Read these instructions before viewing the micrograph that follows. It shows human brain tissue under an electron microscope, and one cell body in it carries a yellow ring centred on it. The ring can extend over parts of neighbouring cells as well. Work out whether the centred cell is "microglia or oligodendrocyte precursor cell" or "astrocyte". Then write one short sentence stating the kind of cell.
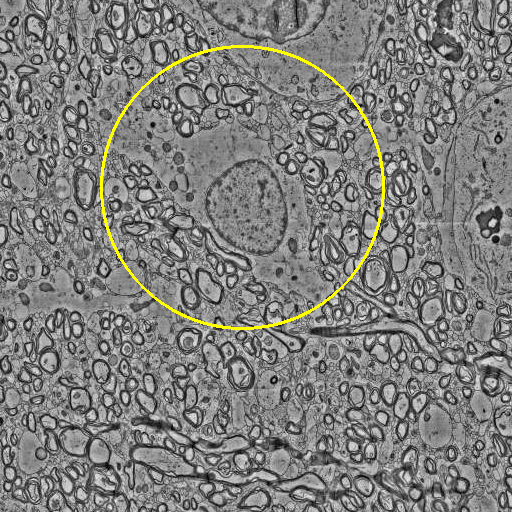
The ringed cell is an astrocyte.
